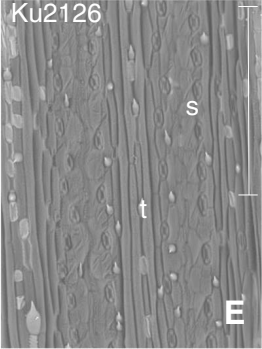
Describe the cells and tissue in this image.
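The leaf blade epidermis of a grass is seen from above. Long, narrow epidermal cells lie in parallel longitudinal files. Stomata, each a small elliptical pore between paired guard cells, stand in rows along the files and are closely spaced. Small pointed trichomes, seen as bright raised prickles, are scattered between the stomata in the same files. Toward one side, short rectangular cells with bright outlines form a separate band beside the stomatal rows. The surface is textured and the cell walls between neighbouring cells appear as fine grooves running the length of the leaf.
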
